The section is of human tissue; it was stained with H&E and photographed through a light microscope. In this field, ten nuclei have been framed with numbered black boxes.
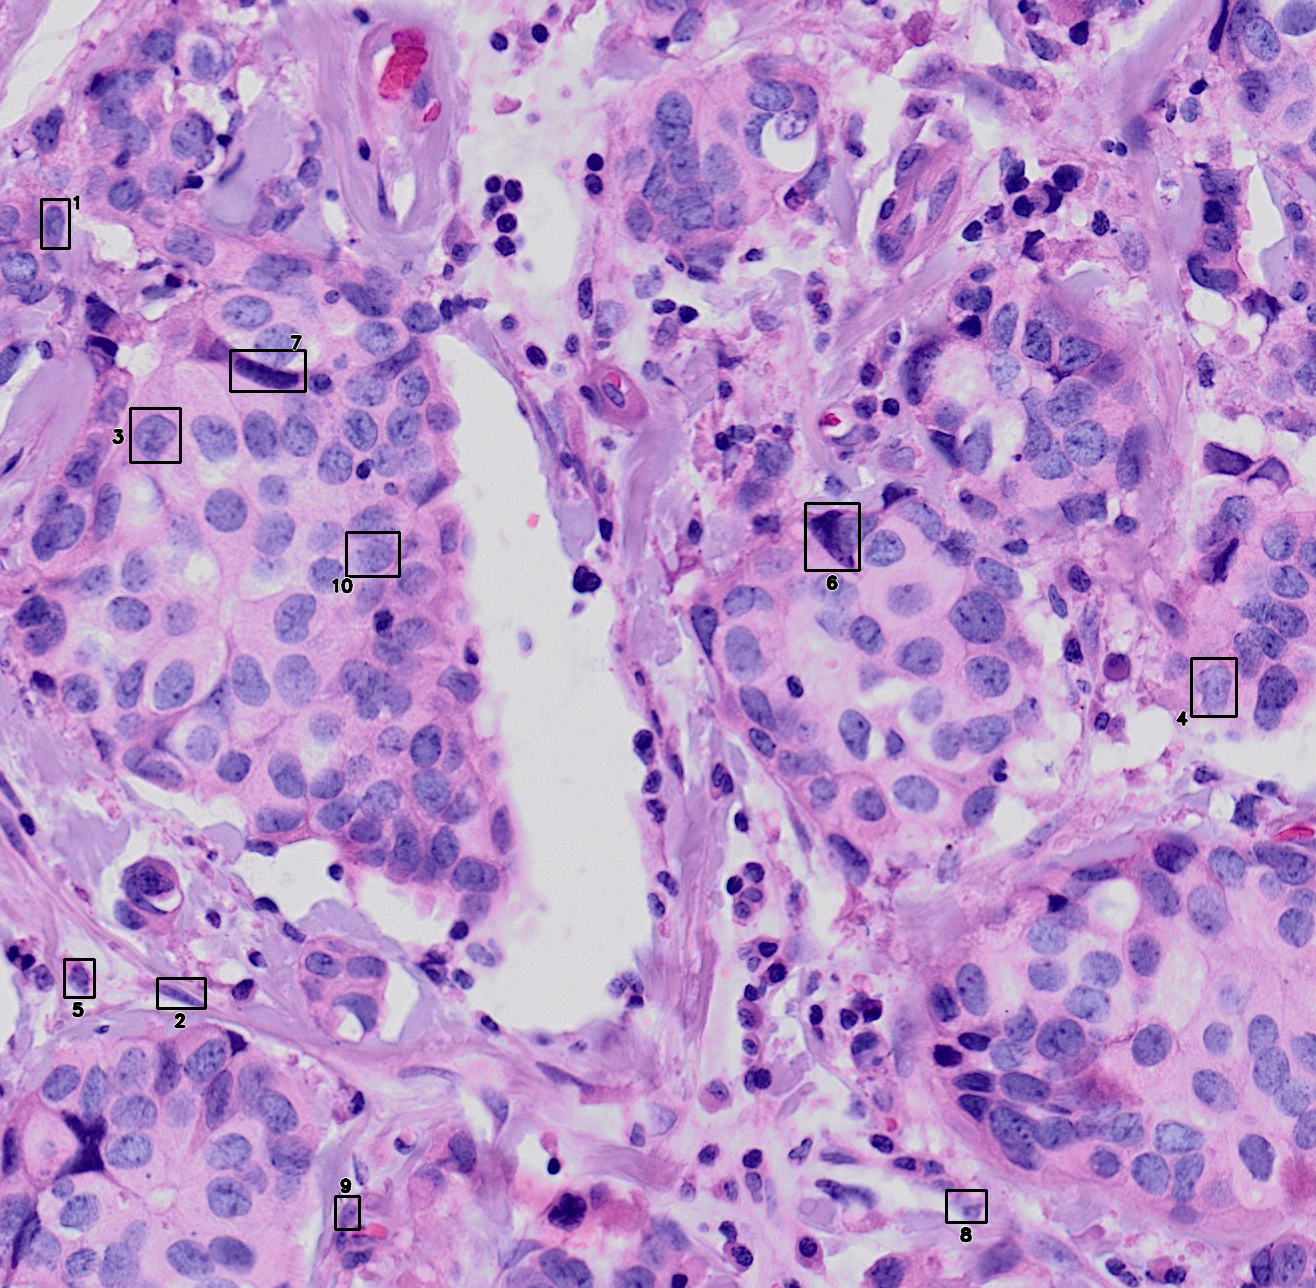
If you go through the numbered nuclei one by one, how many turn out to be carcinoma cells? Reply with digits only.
6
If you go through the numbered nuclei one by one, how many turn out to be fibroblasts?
2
